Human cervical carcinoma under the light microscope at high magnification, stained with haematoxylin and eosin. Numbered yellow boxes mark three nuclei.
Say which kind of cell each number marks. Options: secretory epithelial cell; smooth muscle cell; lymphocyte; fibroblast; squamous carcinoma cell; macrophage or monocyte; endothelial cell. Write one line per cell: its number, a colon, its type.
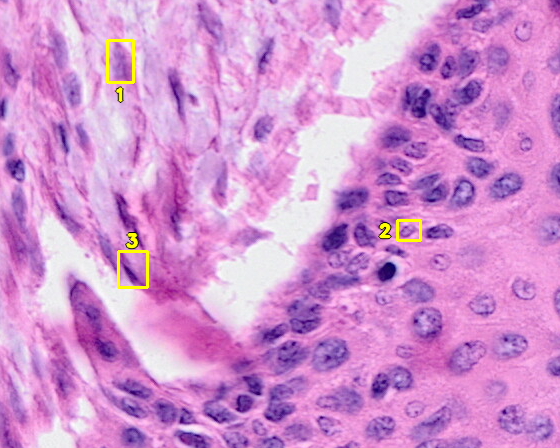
1: fibroblast
2: squamous carcinoma cell
3: fibroblast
